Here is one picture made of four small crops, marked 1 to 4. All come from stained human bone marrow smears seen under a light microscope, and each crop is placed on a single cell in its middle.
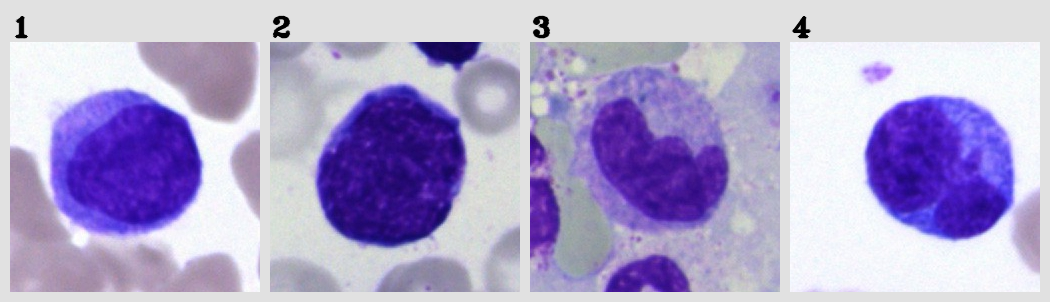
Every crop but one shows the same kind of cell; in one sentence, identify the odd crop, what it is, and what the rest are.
Crop 3 is the exception in this set, showing a monocyte while the others show blasts.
